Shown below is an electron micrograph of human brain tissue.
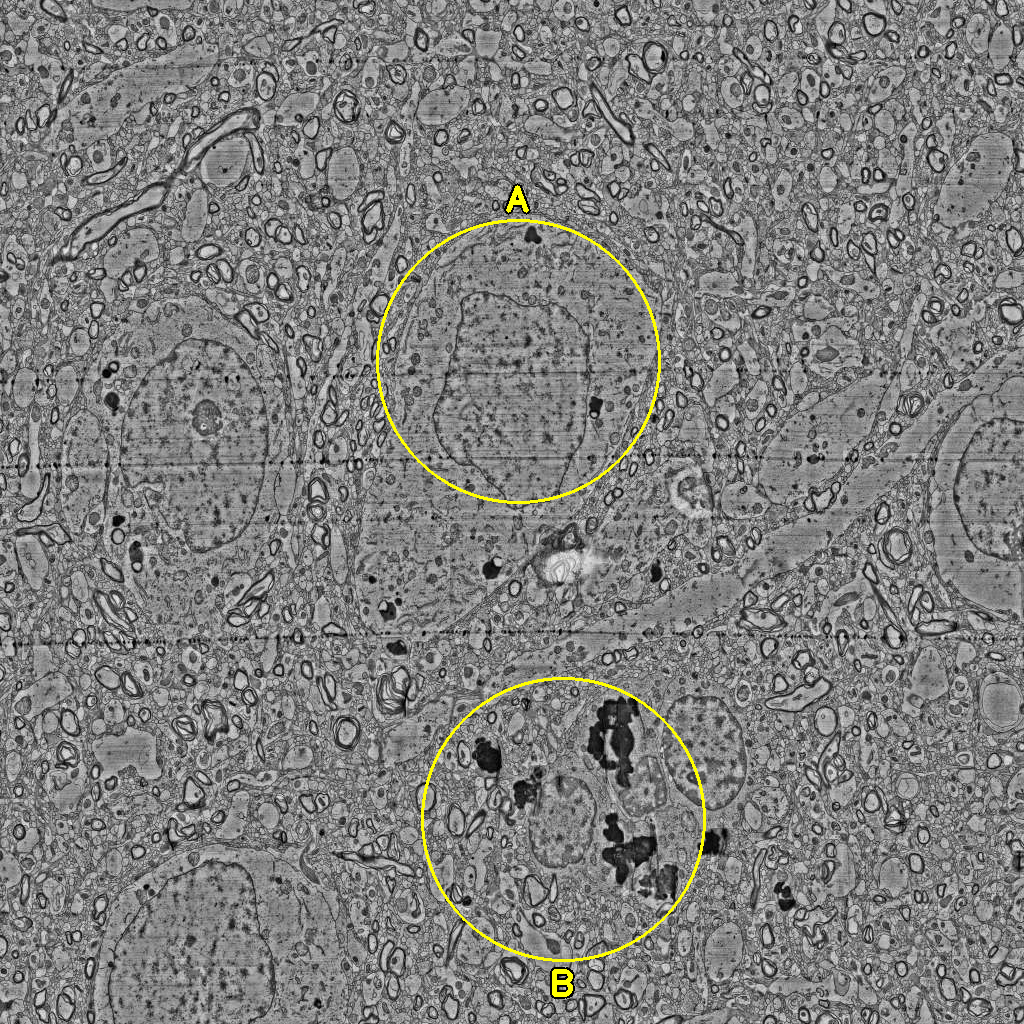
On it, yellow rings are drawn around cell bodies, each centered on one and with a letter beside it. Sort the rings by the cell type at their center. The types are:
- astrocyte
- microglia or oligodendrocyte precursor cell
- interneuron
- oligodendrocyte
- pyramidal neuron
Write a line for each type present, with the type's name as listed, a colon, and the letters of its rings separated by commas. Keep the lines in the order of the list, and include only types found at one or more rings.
oligodendrocyte: B
pyramidal neuron: A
